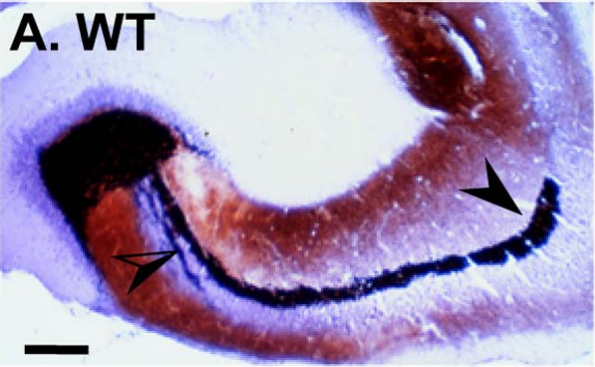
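This is a section through the hippocampus in which the mossy fiber terminals show as a jet-black stain. The surrounding layers take a brown to reddish tint, and the outer tissue is pale blue.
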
